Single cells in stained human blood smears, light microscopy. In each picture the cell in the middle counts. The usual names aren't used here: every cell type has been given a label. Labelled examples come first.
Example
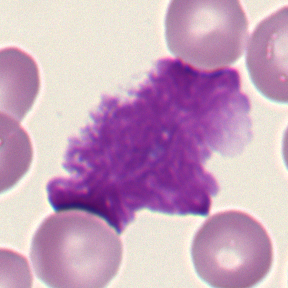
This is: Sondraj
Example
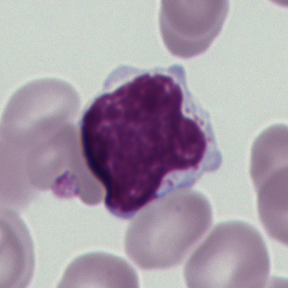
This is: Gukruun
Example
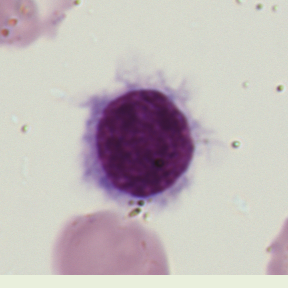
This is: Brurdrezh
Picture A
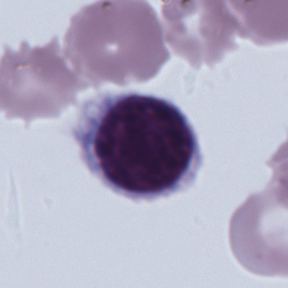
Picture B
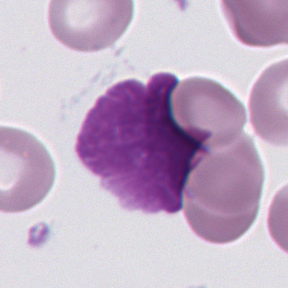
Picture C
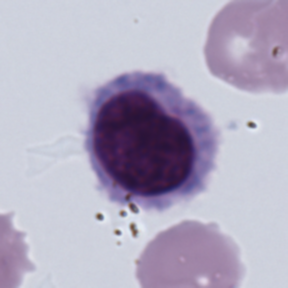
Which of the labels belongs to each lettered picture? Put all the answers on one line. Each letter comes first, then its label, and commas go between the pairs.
A Brurdrezh, B Sondraj, C Brurdrezh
